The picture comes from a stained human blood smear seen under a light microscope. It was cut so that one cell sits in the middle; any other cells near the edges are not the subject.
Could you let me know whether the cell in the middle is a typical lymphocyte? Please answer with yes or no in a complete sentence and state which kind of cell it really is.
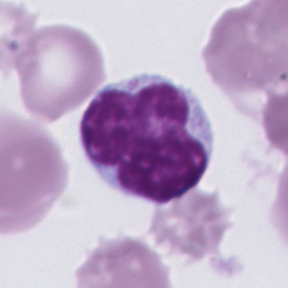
Yes, the cell in the middle is recognised as a typical lymphocyte.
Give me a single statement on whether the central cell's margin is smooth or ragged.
If you check the edge, you will find it smooth without projections.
